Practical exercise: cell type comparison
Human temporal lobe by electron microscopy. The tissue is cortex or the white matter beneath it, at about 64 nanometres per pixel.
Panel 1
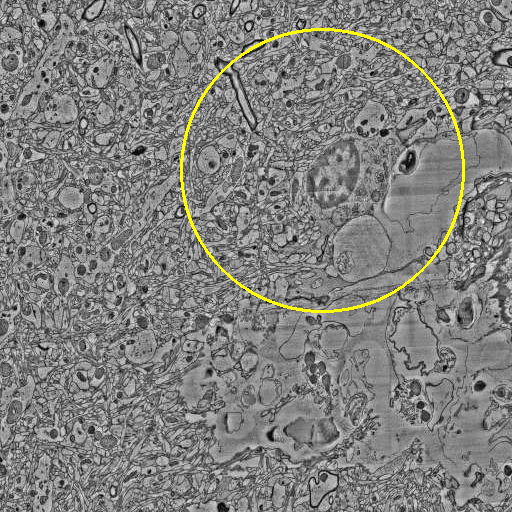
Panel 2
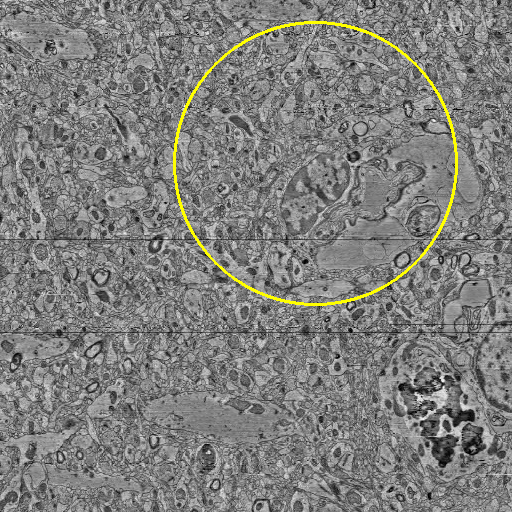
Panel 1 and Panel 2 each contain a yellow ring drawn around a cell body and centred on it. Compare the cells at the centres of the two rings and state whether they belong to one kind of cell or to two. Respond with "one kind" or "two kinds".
two kinds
